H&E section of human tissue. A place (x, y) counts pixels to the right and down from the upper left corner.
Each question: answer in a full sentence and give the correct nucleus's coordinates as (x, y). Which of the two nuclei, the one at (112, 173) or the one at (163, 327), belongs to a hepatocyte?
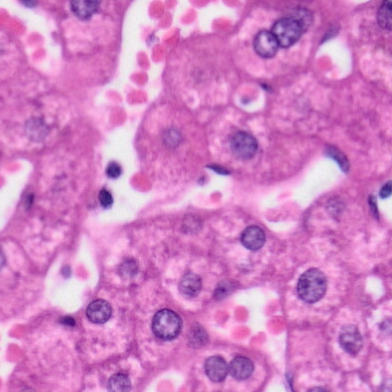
The nucleus lying at (163, 327) is the nucleus of a hepatocyte.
